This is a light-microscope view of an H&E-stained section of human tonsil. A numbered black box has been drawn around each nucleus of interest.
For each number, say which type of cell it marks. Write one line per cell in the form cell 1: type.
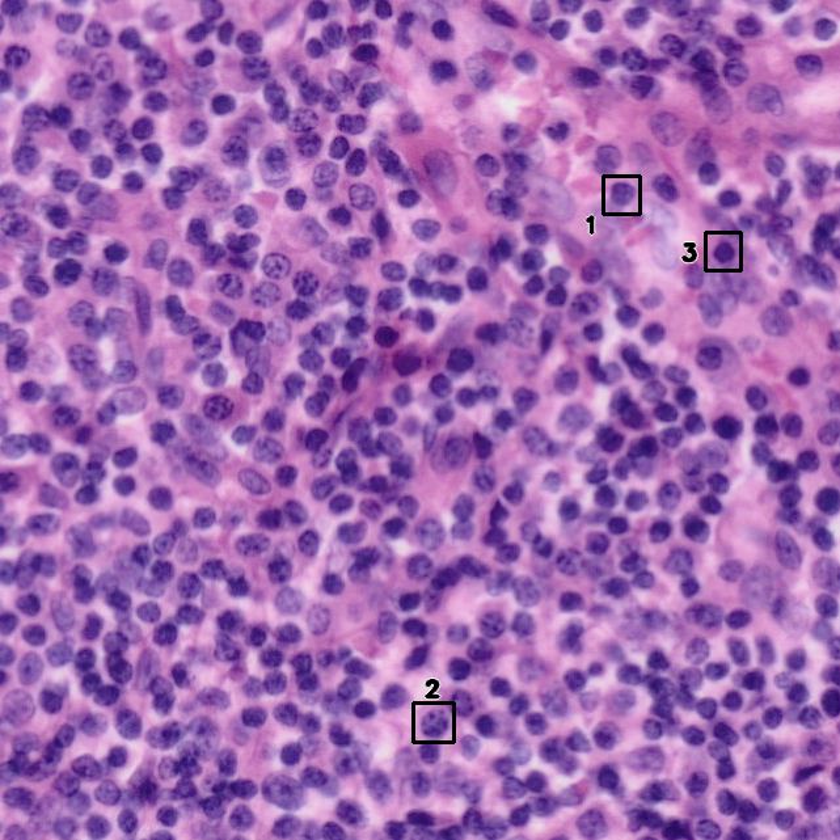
cell 1: endothelial cell
cell 2: plasma cell
cell 3: endothelial cell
